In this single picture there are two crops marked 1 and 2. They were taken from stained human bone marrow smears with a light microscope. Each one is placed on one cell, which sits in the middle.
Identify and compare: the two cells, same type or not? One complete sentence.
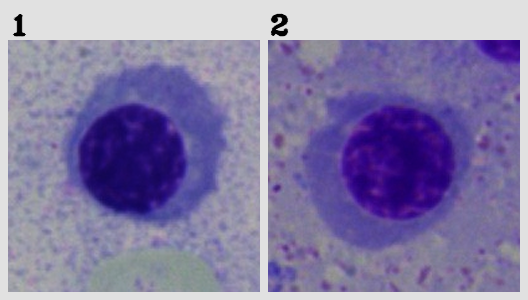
Yes, both crops depict erythroblasts at the centre.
